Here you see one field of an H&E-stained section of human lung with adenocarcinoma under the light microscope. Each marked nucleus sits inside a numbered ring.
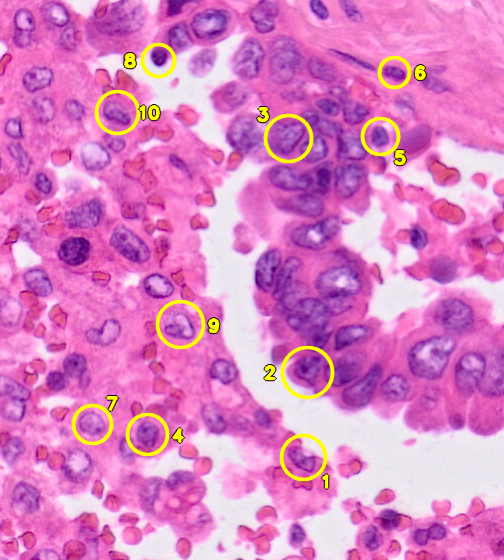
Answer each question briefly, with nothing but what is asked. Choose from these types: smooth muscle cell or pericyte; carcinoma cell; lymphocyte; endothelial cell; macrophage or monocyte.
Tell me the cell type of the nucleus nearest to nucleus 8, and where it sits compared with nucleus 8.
a carcinoma cell, above and to the right of nucleus 8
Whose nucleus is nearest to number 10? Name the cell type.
macrophage or monocyte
